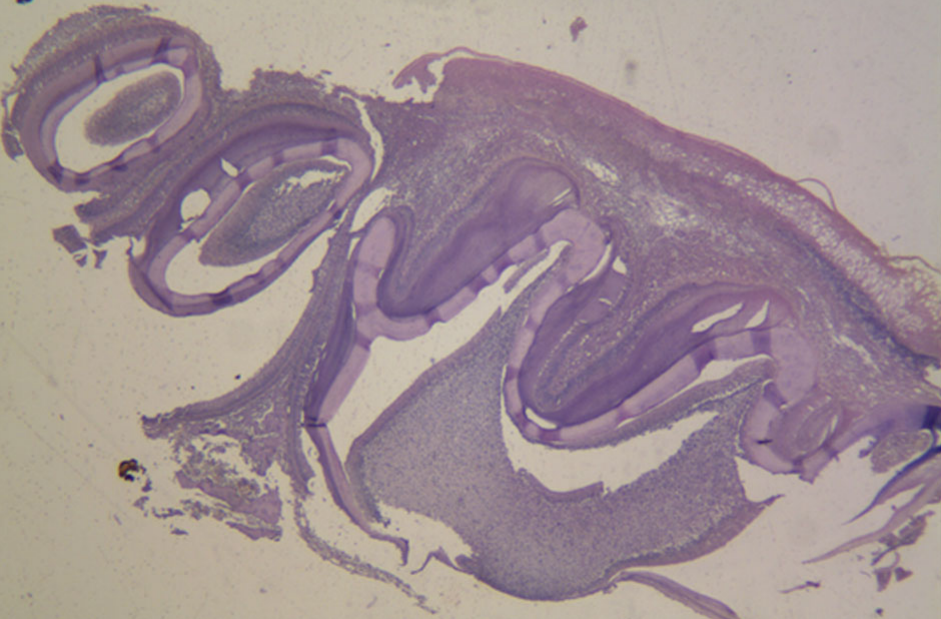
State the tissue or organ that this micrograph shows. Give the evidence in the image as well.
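Several cusp-shaped folds of a tooth crown lie side by side. Each fold has a pale pink banded hard-tissue layer wrapped around a dense purple cellular core. The folds join a common mass of cellular tissue at one side.
Hence: molars.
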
